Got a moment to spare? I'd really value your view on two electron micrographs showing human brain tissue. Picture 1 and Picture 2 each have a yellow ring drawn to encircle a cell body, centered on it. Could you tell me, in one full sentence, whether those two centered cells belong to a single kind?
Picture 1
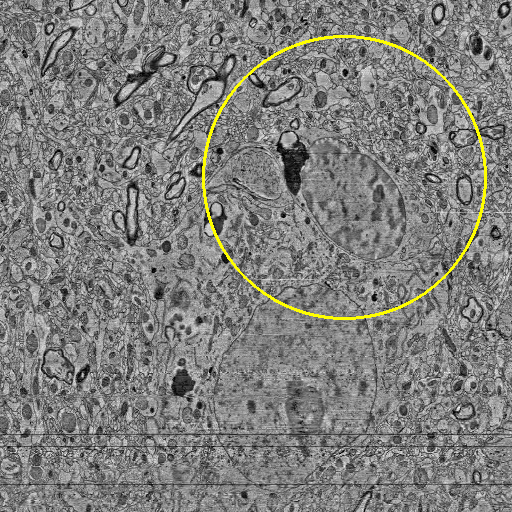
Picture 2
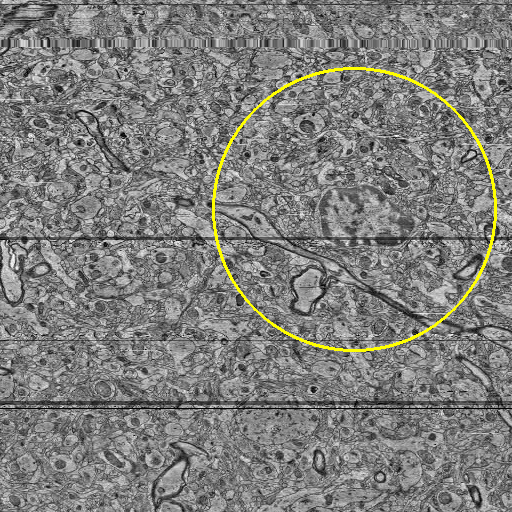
No, the two centered cells in Picture 1 and Picture 2 are of two kinds.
